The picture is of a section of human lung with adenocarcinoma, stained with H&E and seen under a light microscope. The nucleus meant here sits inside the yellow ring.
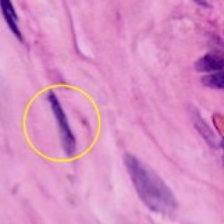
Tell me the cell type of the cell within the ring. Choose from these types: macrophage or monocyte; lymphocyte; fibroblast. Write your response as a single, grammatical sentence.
It is as a fibroblast that the cell within the ring is recorded.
